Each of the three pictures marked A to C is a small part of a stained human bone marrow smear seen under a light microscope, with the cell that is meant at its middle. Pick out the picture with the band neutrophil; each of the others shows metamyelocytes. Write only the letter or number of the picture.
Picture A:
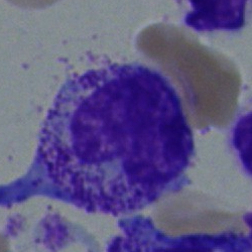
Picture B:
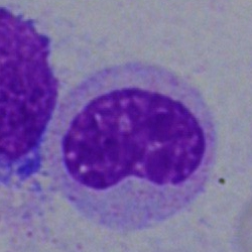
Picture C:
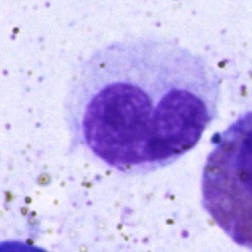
C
